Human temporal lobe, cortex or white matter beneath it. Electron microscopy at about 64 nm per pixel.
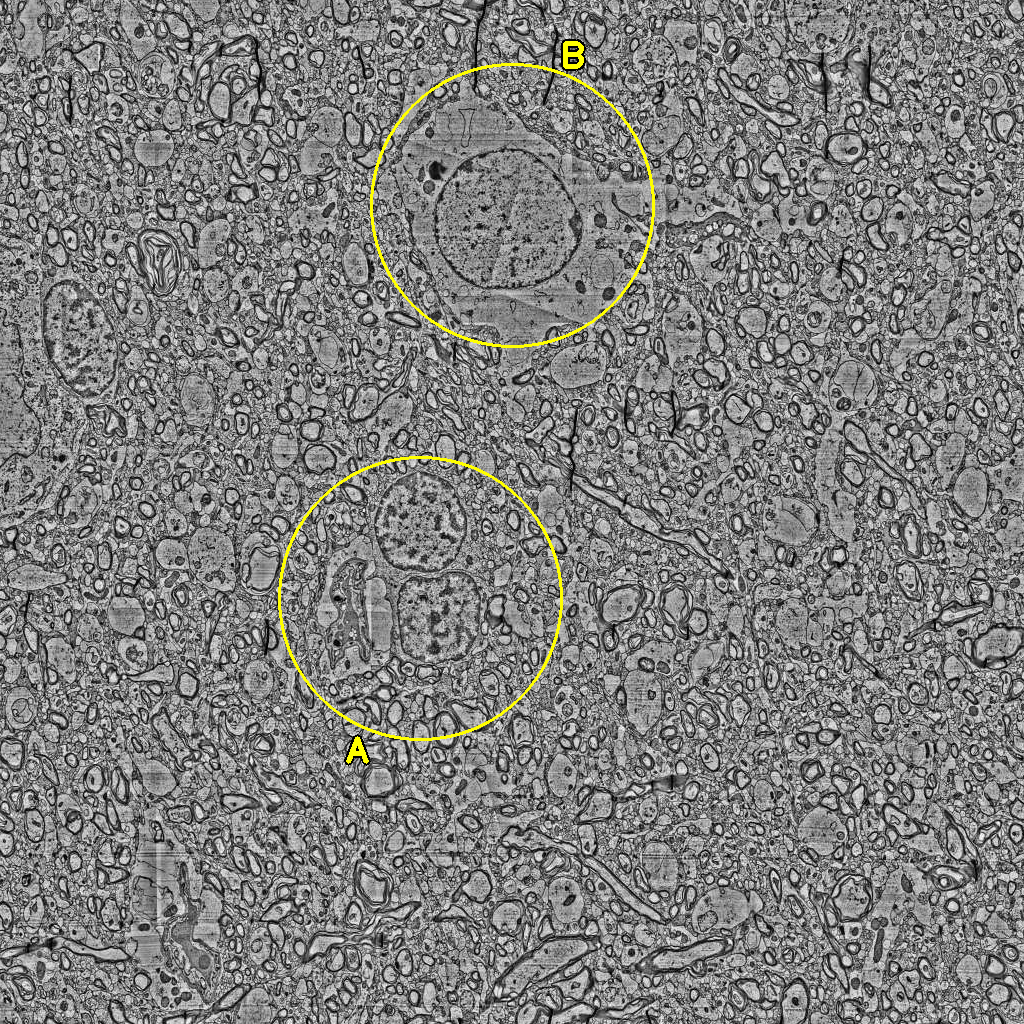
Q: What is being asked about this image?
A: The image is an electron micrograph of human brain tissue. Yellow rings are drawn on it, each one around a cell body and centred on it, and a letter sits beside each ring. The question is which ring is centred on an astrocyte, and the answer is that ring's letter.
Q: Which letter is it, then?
B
